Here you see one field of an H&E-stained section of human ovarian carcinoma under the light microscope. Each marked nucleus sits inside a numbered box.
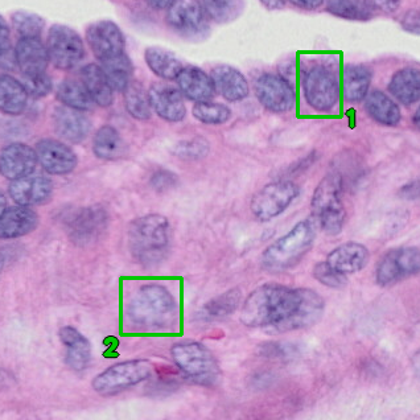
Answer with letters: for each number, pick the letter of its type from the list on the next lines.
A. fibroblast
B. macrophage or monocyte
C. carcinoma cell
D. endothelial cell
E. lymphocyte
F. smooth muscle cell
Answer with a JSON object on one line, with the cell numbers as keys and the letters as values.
{"1": "C", "2": "A"}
